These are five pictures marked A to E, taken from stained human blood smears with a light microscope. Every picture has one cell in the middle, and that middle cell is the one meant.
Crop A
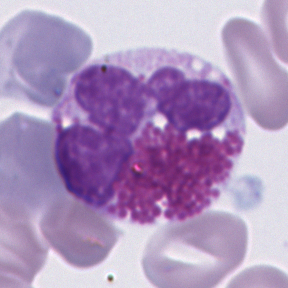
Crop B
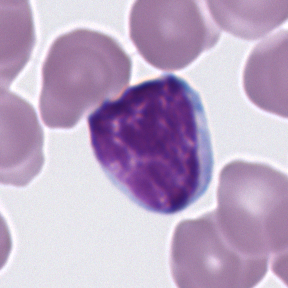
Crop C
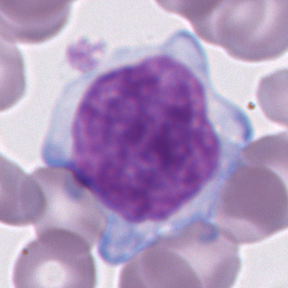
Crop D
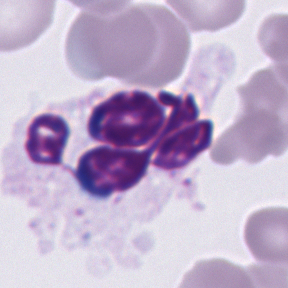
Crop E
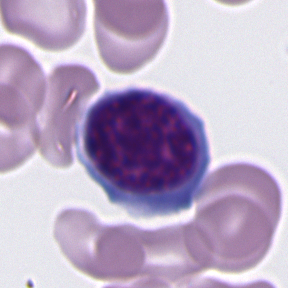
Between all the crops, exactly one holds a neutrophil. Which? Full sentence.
Of the crops given, a neutrophil is found in crop D.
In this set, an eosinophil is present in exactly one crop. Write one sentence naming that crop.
Crop A is the one in the set with an eosinophil at the center.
